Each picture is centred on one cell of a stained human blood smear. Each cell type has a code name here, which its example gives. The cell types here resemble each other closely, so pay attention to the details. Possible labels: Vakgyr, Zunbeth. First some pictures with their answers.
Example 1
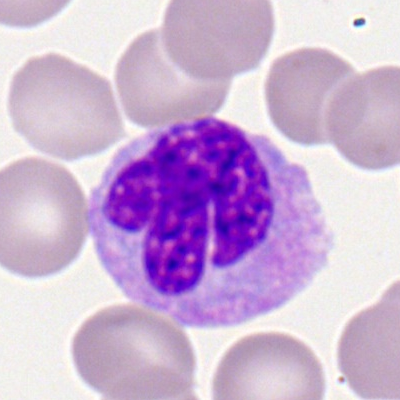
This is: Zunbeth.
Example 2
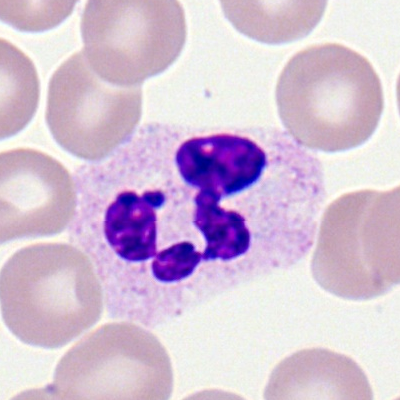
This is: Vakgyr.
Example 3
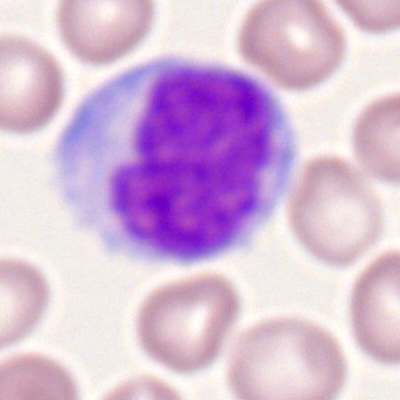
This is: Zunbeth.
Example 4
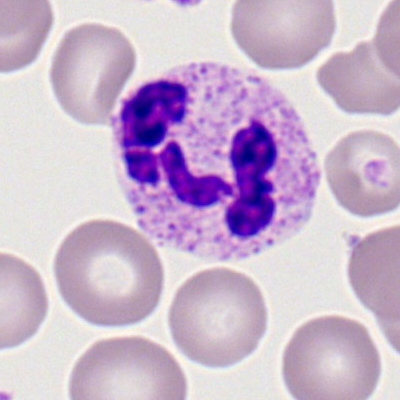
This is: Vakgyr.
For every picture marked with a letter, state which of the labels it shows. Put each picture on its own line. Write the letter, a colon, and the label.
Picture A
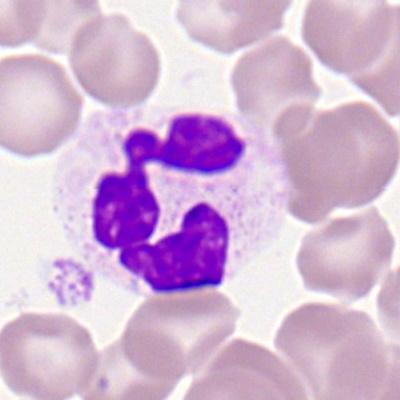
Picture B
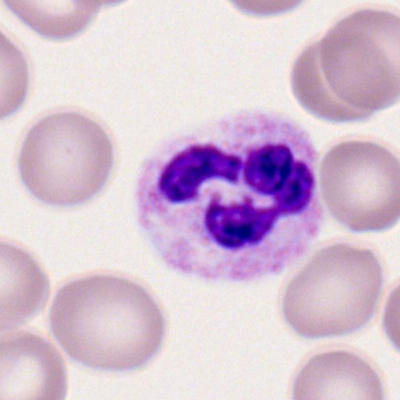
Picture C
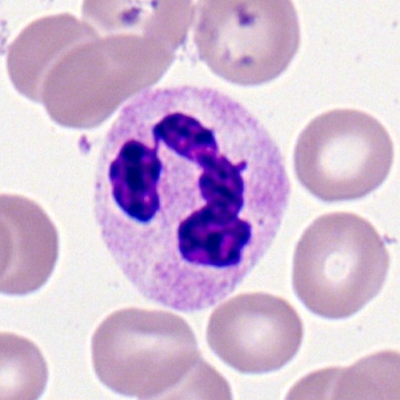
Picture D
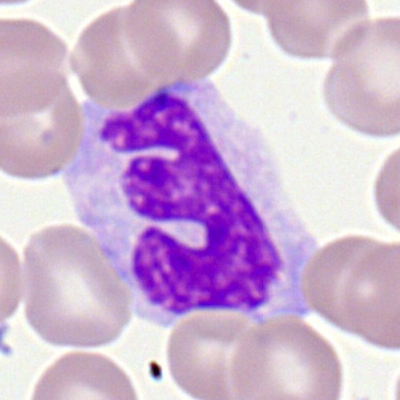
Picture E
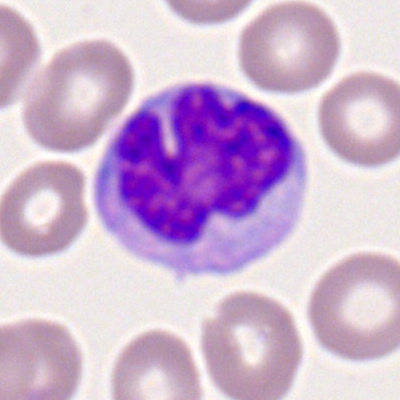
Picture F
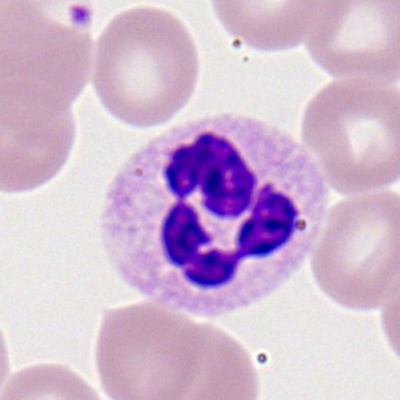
A: Vakgyr.
B: Vakgyr.
C: Vakgyr.
D: Zunbeth.
E: Zunbeth.
F: Vakgyr.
